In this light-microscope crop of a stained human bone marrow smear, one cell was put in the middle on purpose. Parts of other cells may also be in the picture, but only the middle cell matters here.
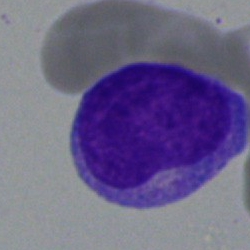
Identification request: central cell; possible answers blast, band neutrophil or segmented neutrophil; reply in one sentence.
The cell at the middle of the crop is recognized as a blast.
